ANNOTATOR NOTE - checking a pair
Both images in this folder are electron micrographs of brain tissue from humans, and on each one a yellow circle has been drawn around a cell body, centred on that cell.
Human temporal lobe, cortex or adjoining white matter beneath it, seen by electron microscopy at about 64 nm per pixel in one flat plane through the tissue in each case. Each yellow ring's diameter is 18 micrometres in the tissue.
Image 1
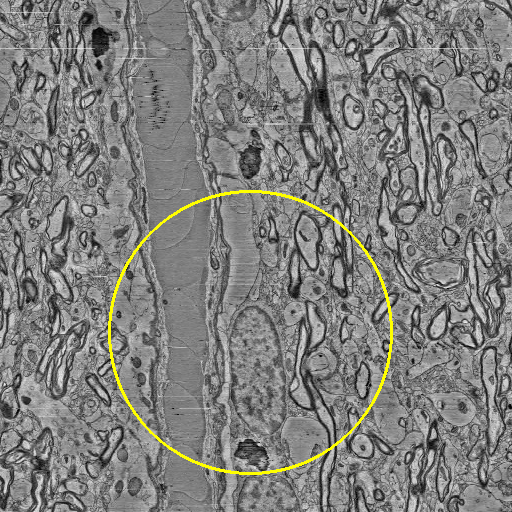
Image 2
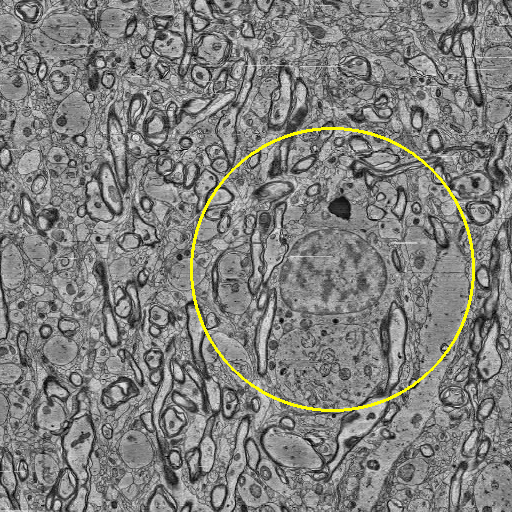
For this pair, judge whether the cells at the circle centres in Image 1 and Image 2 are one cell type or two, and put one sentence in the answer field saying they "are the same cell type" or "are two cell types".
For this pair, the cells at the circle centres in Images 1 and 2 are the same cell type.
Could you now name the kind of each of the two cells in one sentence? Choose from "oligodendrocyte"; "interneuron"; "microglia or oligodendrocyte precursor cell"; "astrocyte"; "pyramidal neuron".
Each of the two rings surrounds an oligodendrocyte.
